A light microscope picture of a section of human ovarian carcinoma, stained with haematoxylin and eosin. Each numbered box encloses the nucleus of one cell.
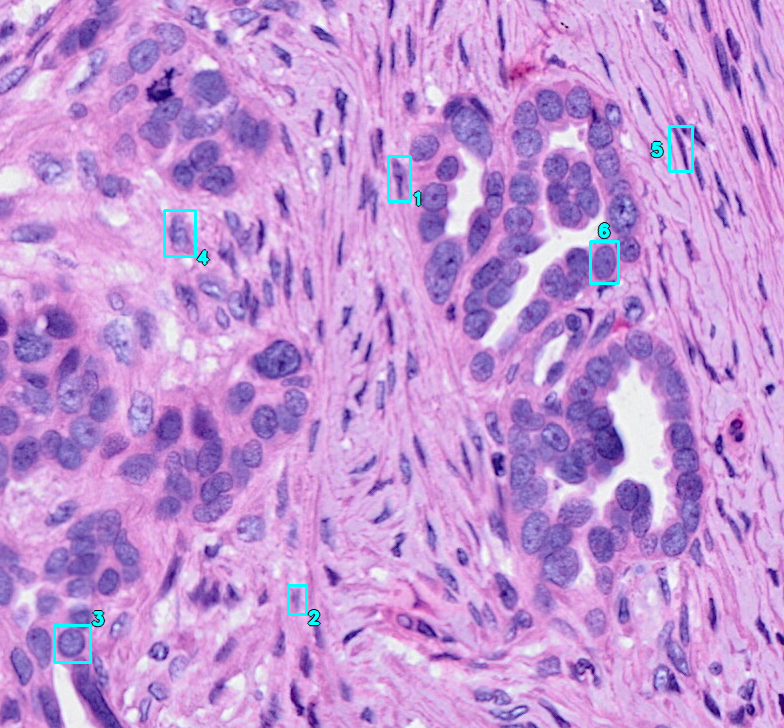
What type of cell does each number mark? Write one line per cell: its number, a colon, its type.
1: fibroblast
2: fibroblast
3: carcinoma cell
4: fibroblast
5: fibroblast
6: carcinoma cell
